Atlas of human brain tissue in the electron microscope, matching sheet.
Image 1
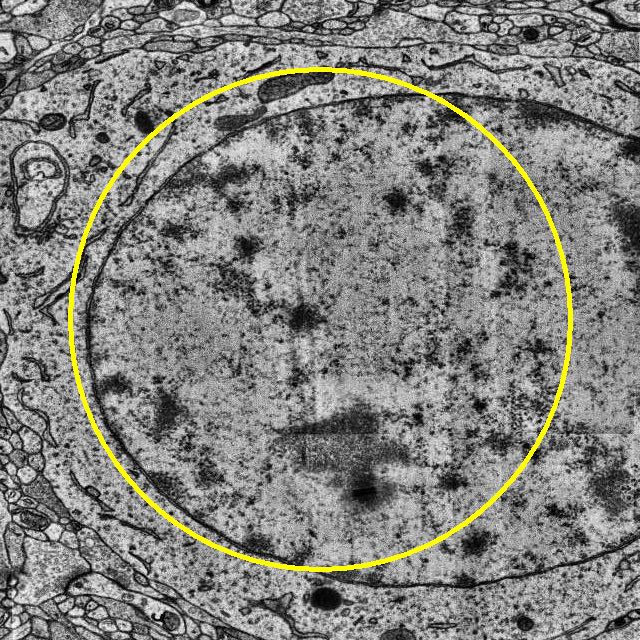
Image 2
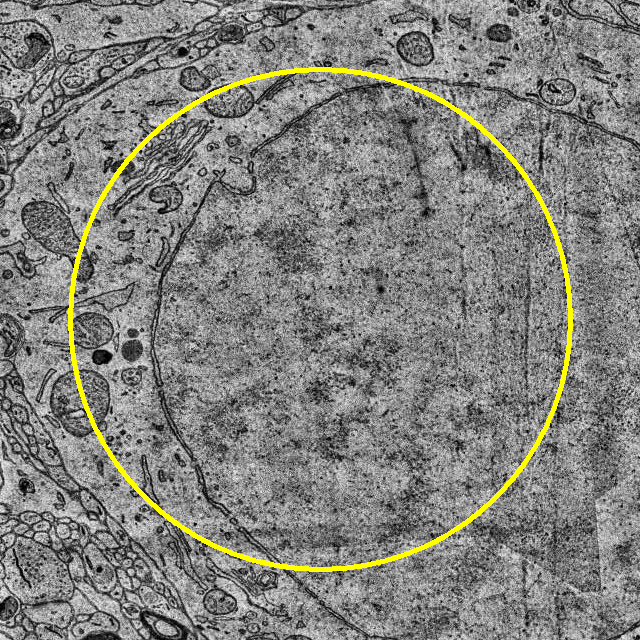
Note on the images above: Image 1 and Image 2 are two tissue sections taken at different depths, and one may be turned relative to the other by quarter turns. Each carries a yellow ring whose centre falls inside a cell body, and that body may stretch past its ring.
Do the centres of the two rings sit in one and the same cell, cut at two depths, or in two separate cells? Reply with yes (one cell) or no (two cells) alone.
no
